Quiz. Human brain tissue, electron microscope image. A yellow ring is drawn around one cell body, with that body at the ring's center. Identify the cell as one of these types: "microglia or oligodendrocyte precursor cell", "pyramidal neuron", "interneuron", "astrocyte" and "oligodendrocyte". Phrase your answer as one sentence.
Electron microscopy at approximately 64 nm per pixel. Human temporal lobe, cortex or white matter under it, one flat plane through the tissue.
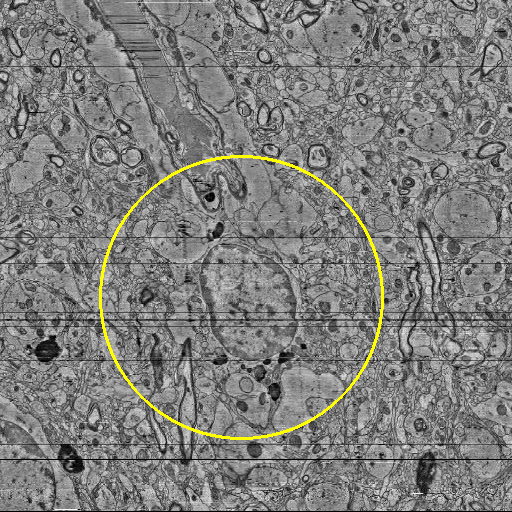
At the center of the ring sits a microglial cell or oligodendrocyte precursor cell.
